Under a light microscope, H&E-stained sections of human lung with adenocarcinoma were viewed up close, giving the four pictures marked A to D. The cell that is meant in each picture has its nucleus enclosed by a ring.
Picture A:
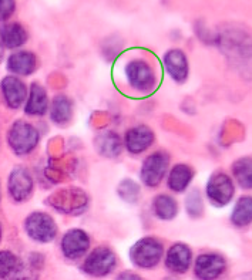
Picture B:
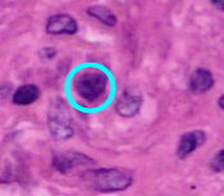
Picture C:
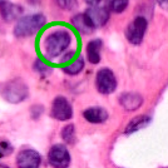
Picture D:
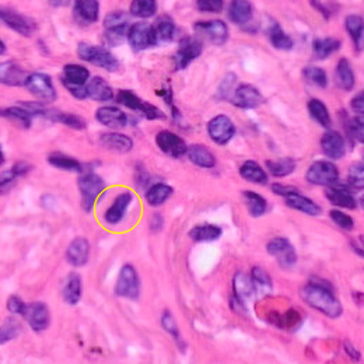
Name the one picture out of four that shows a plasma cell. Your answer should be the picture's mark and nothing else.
B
